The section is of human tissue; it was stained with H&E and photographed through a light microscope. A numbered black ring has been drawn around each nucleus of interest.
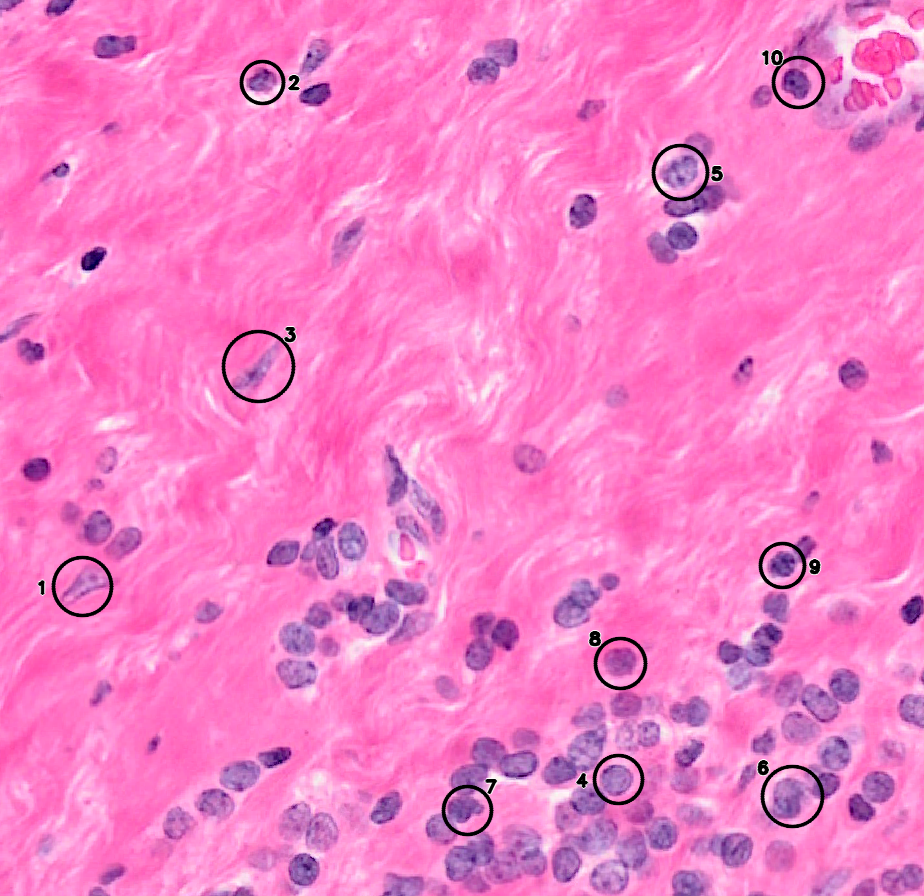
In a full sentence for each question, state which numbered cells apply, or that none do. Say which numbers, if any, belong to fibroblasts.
Regarding the numbered cells 1 and 3, these are fibroblasts.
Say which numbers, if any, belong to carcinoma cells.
The numbers 4, 5, 6, 7 and 8 refer to cells that are carcinoma cells.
